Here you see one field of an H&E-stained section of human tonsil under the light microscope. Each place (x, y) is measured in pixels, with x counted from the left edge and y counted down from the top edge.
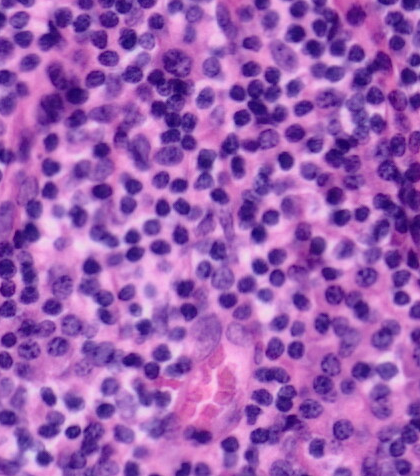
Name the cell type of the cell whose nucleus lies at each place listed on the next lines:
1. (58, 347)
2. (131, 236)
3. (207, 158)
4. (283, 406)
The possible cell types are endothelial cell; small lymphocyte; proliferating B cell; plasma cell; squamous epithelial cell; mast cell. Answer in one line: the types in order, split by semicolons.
plasma cell; small lymphocyte; small lymphocyte; small lymphocyte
